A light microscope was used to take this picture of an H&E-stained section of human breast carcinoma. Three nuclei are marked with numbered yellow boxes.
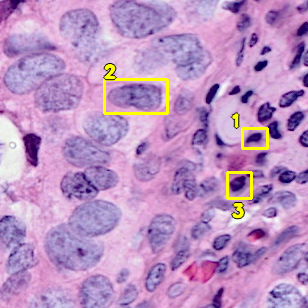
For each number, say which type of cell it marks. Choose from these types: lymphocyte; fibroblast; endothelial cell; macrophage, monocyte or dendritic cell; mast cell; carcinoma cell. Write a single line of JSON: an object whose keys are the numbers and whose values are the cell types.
{"1": "lymphocyte", "2": "carcinoma cell", "3": "lymphocyte"}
